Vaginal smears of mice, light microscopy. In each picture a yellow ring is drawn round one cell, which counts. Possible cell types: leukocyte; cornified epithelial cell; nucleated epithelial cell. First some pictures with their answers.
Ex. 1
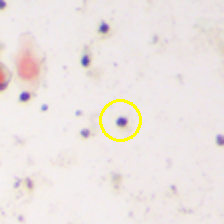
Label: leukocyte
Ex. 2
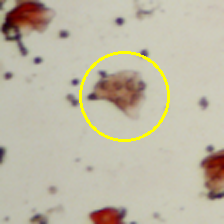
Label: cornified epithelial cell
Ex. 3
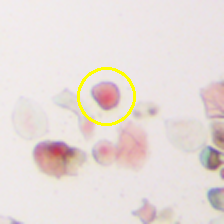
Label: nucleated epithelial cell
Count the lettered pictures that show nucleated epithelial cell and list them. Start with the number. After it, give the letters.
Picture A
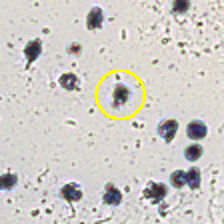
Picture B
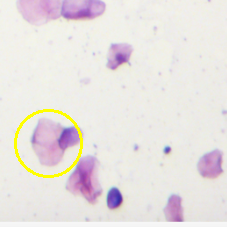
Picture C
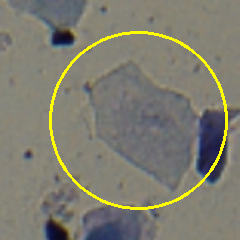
0, none of them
